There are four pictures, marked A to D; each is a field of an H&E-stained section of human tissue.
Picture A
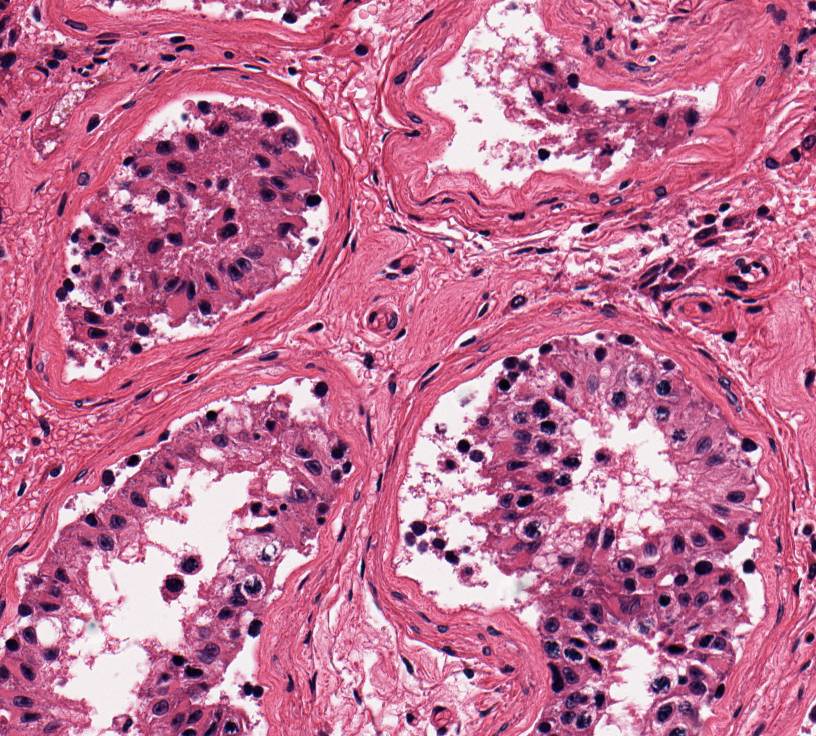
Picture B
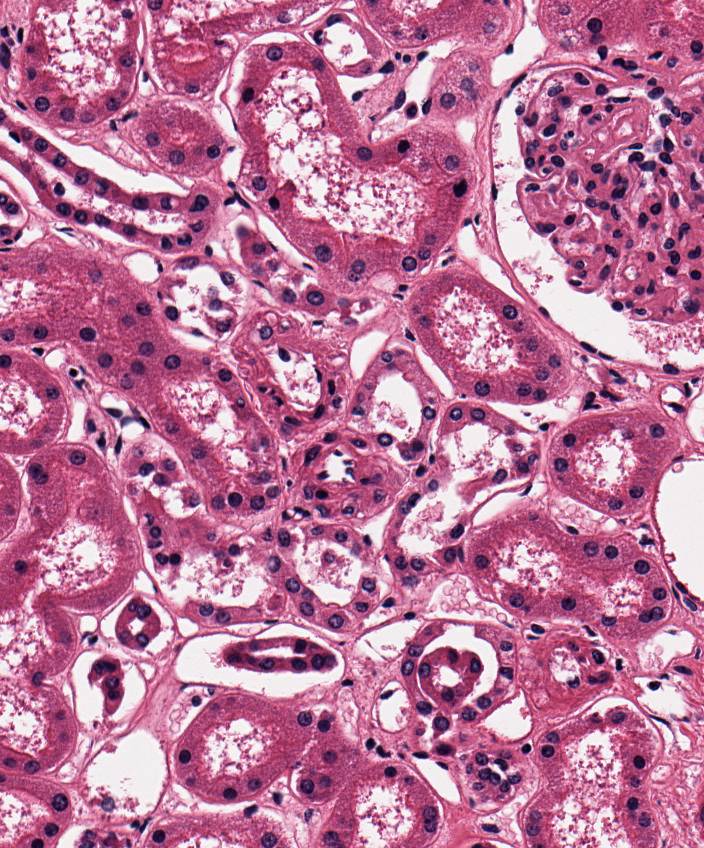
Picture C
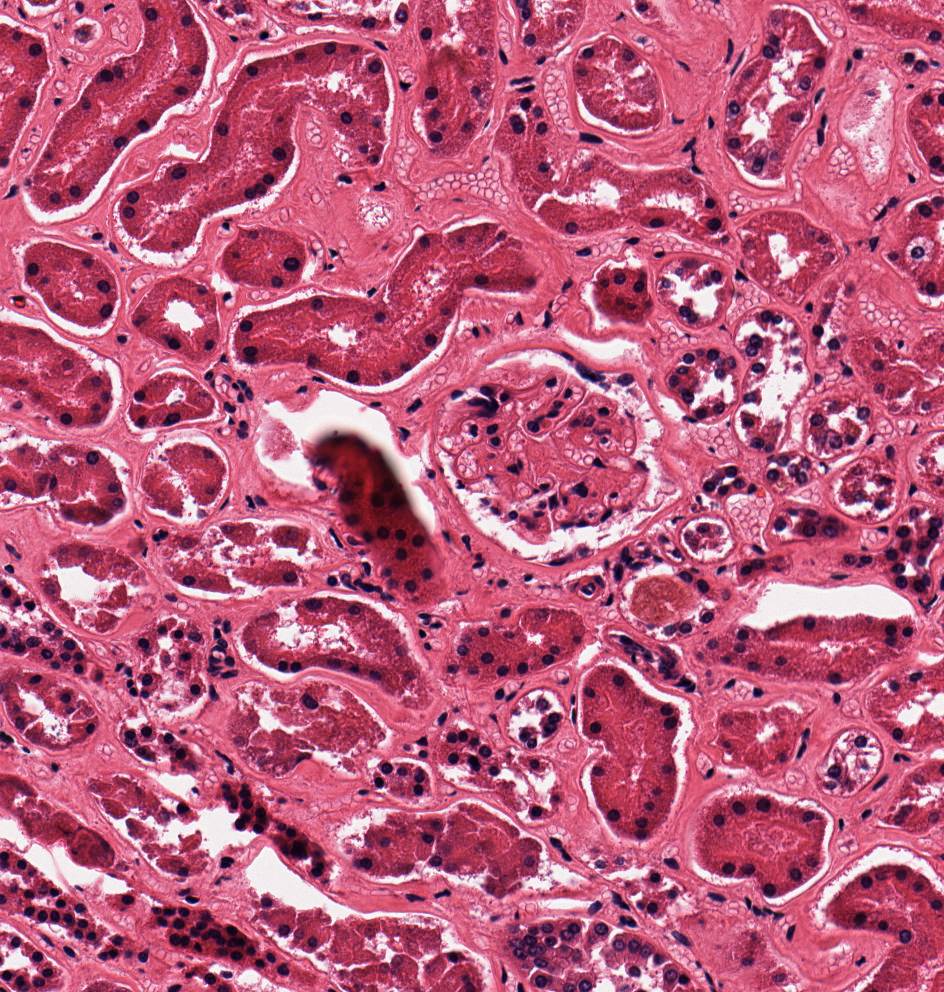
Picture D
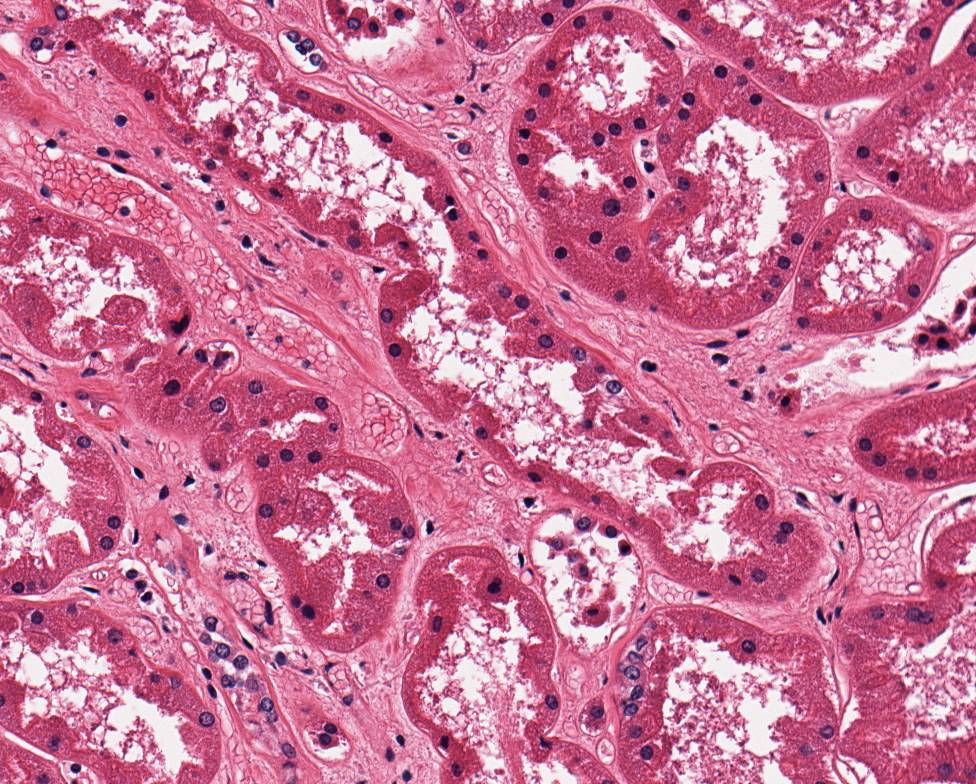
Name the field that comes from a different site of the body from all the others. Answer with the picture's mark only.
A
